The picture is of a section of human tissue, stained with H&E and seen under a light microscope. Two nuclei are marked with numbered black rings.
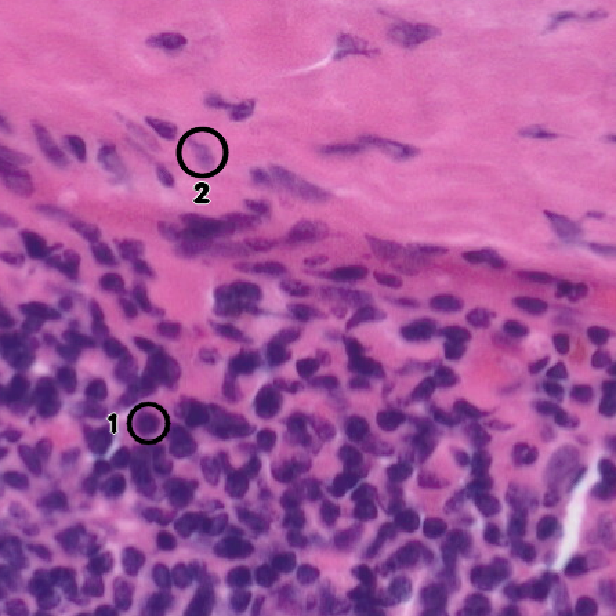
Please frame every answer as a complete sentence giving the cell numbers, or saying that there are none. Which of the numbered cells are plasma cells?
Within the set of numbered cells, only number 1 is a plasma cell.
